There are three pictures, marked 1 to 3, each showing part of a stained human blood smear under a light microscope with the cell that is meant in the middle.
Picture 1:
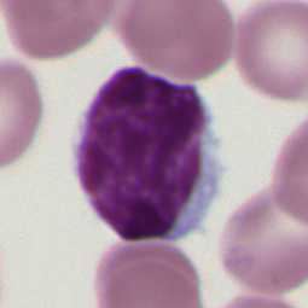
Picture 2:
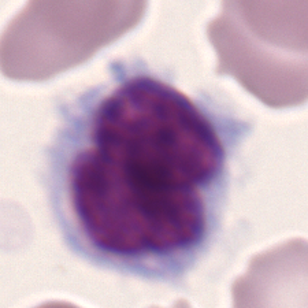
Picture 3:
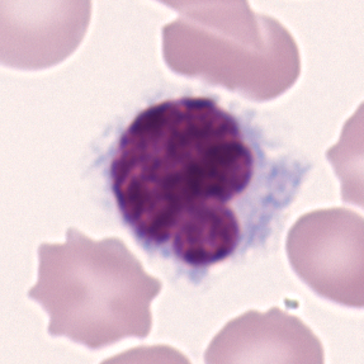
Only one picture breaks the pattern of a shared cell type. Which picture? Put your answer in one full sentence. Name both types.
Unlike the rest, which show hairy cells, picture 1 shows a typical lymphocyte.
